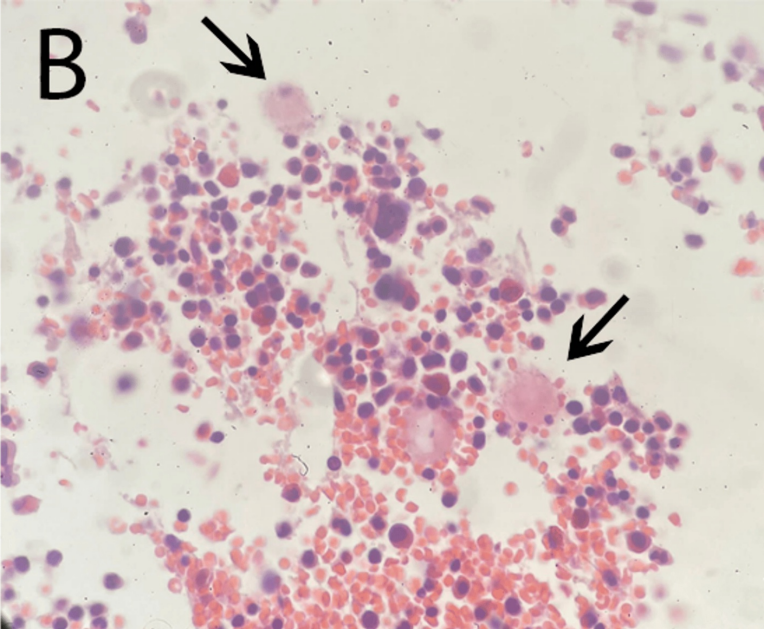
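A loose spread of marrow cells with dark purple nuclei lies among many red blood cells, with some clear fat spaces. The hematopoietic cells vary in size and nuclear shape, reflecting several maturing blood-forming lines. Scattered among them are a few larger cells with abundant pale pink, finely granular or bubbly cytoplasm and inconspicuous nuclei, one at the upper edge and one at the right of the cluster. These are foamy macrophages in marrow that otherwise shows ordinary blood formation.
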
